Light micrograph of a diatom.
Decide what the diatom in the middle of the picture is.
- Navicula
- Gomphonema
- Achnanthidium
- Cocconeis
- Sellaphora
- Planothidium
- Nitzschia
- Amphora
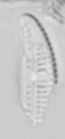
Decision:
Amphora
